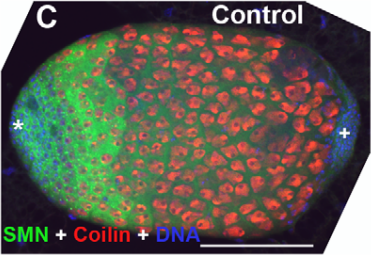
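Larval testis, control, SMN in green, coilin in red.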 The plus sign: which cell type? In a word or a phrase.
distal terminal cells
